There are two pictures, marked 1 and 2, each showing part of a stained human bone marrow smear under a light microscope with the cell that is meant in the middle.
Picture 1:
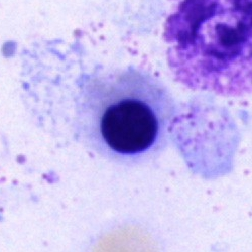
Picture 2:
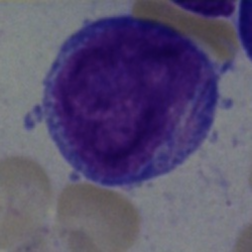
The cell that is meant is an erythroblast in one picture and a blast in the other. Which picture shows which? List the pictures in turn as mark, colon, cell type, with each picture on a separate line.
1: erythroblast
2: blast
